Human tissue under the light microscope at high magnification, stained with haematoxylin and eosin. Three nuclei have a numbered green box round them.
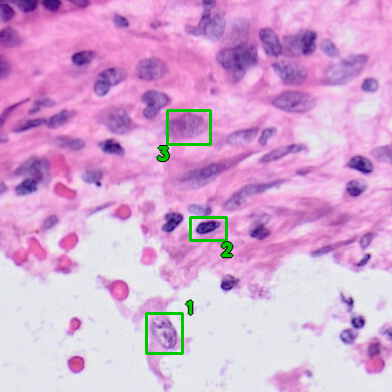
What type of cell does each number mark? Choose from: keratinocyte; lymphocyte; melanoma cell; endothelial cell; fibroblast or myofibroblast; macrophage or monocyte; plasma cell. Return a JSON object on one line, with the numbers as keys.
{"1": "melanoma cell", "2": "lymphocyte", "3": "fibroblast or myofibroblast"}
